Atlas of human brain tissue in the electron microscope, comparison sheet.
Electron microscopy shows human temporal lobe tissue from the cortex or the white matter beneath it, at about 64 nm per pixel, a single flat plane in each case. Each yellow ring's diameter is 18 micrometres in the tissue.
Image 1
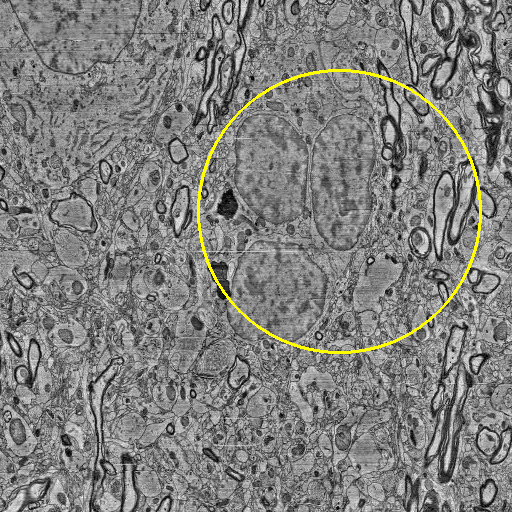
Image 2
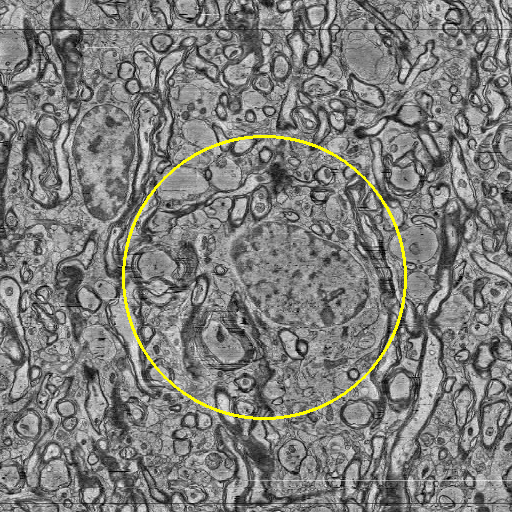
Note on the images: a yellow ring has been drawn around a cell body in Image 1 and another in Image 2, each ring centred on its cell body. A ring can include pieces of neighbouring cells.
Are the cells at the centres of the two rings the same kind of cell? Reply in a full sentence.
No, the two cells are of two kinds.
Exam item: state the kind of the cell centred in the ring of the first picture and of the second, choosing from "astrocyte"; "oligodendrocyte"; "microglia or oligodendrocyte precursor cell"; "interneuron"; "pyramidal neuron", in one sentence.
The first picture shows an oligodendrocyte at the ring centre and the second shows a microglial cell or oligodendrocyte precursor cell.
